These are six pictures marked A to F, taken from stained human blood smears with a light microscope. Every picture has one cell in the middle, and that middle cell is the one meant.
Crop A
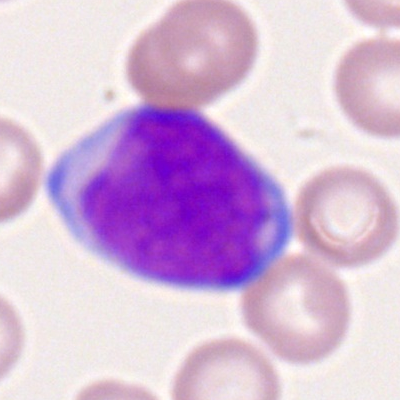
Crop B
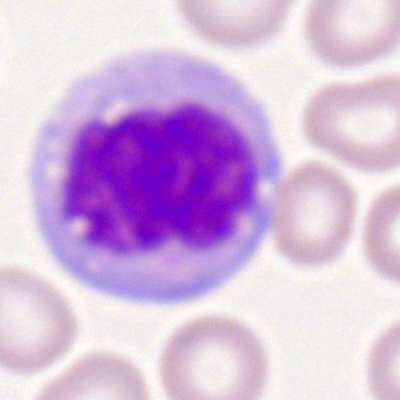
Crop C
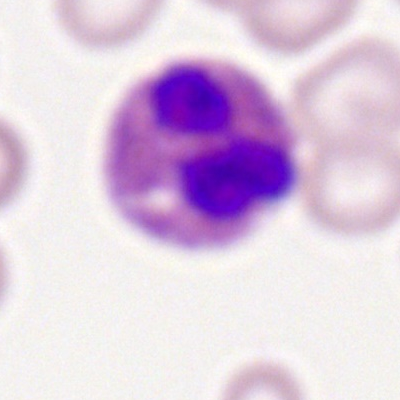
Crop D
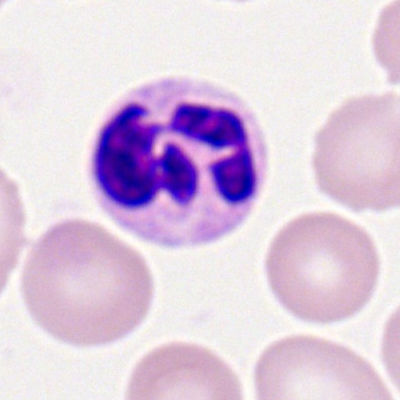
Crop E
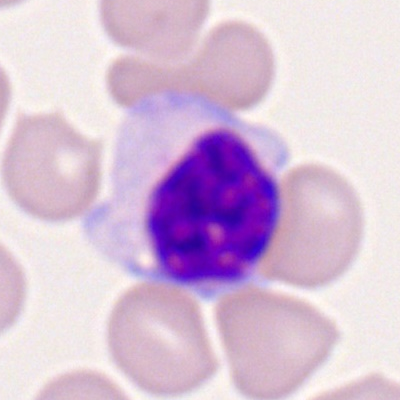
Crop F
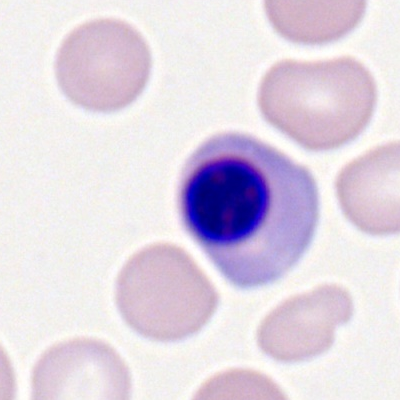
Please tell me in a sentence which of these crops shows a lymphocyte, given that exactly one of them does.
The crop showing a lymphocyte in this series is crop E.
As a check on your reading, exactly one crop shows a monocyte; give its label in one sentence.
Among the crops provided, a monocyte occupies the center of crop B.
